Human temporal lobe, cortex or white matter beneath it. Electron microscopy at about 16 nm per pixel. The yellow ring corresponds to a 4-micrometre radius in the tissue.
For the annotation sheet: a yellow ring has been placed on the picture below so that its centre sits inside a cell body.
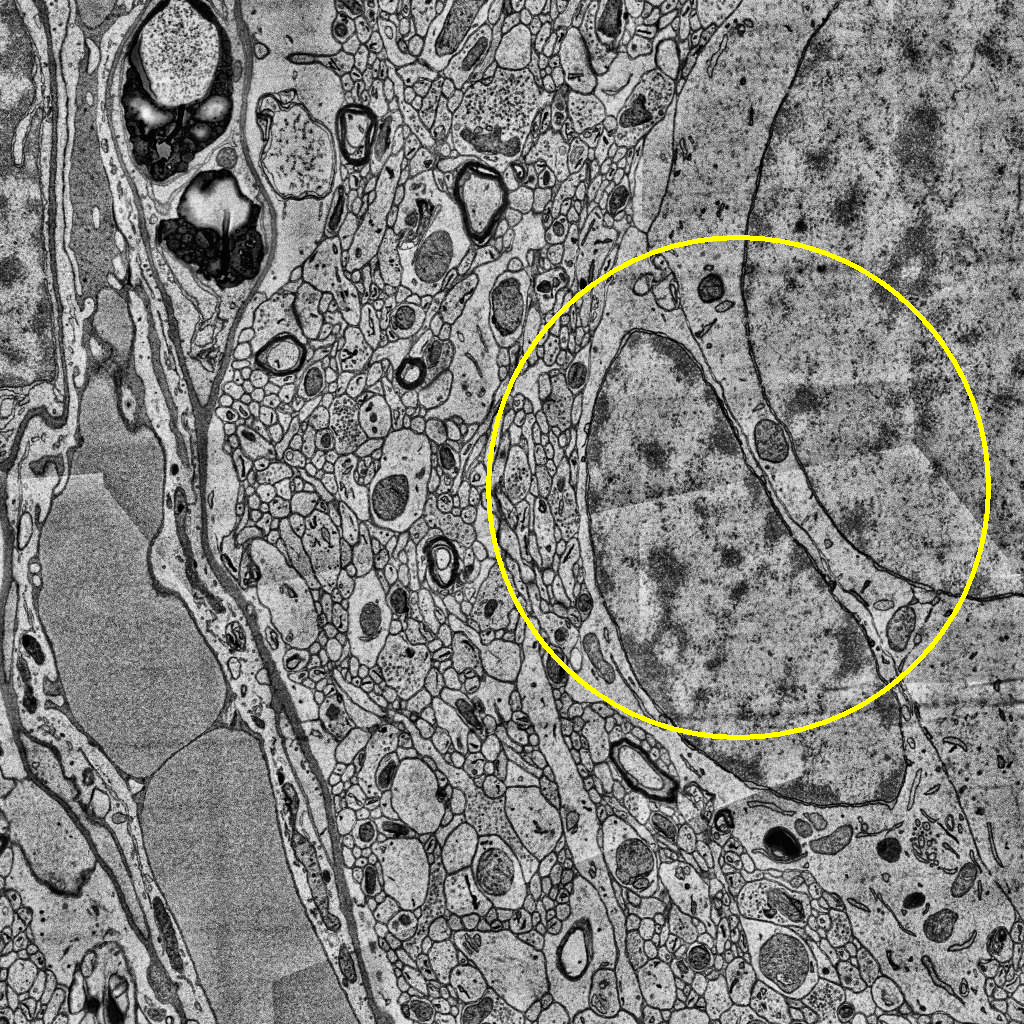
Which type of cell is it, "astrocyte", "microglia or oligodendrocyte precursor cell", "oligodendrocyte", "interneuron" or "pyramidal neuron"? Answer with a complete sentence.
The cell at the ring's centre is a microglial cell or oligodendrocyte precursor cell.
